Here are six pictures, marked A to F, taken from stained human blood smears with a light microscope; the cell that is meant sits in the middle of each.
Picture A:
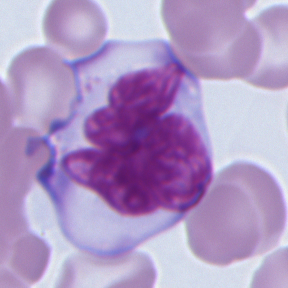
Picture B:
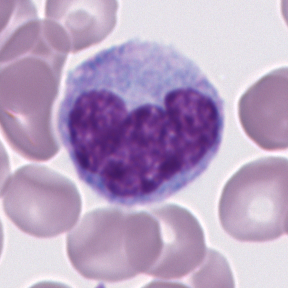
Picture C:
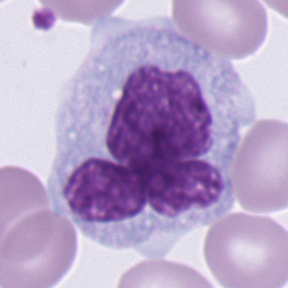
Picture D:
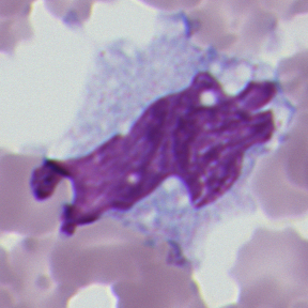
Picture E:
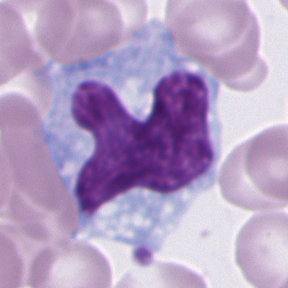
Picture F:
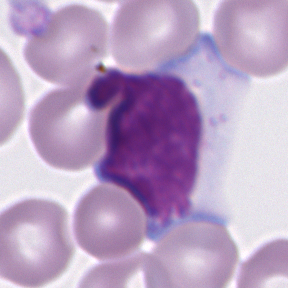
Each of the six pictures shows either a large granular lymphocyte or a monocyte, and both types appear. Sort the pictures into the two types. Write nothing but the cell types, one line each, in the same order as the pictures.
large granular lymphocyte
monocyte
monocyte
monocyte
monocyte
large granular lymphocyte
